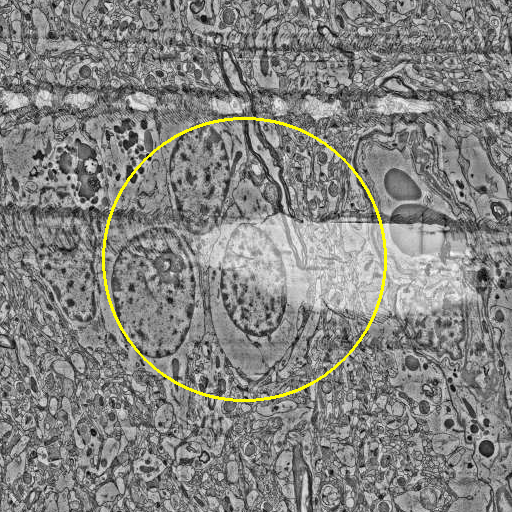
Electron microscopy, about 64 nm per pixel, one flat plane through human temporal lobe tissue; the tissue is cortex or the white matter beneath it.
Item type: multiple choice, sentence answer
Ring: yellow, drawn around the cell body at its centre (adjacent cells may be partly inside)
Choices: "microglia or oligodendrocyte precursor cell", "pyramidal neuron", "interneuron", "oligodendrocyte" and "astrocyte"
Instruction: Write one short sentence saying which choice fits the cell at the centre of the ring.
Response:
This ring is drawn around an astrocyte.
